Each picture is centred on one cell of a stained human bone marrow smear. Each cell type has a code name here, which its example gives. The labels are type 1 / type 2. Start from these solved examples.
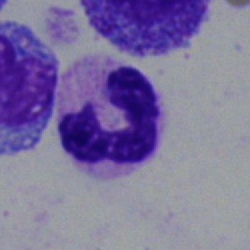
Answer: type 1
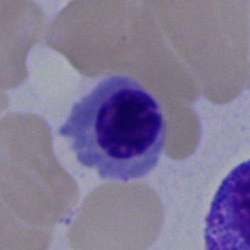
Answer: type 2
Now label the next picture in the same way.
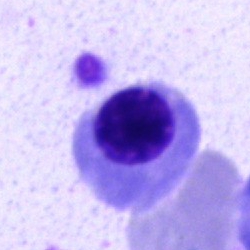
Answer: type 2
